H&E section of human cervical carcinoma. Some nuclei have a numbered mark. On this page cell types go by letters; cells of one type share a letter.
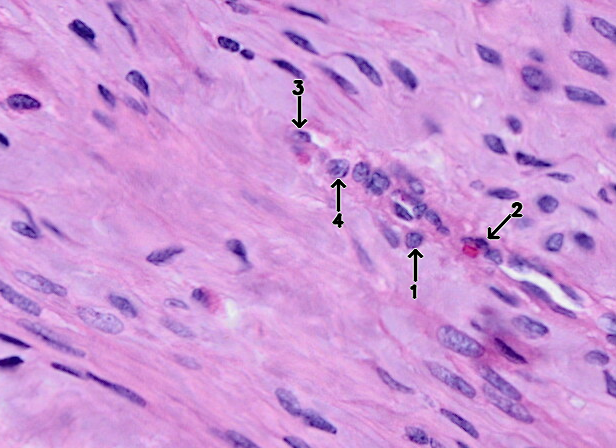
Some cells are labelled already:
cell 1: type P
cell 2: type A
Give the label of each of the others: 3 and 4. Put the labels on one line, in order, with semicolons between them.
type A; type A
